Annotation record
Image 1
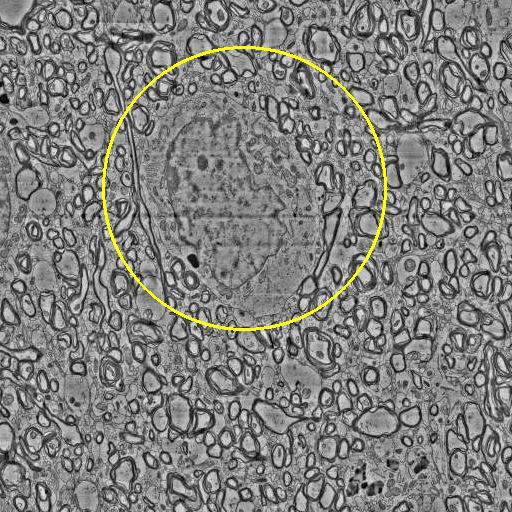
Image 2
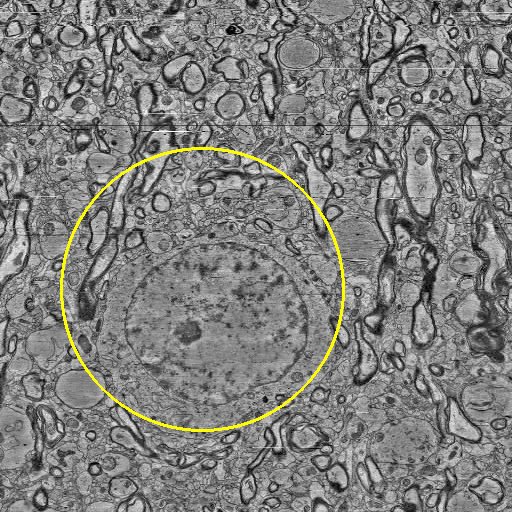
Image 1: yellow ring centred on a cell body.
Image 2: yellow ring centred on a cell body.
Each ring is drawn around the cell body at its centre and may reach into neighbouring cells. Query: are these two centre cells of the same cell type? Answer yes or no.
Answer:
yes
